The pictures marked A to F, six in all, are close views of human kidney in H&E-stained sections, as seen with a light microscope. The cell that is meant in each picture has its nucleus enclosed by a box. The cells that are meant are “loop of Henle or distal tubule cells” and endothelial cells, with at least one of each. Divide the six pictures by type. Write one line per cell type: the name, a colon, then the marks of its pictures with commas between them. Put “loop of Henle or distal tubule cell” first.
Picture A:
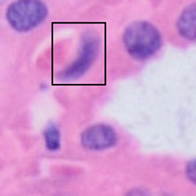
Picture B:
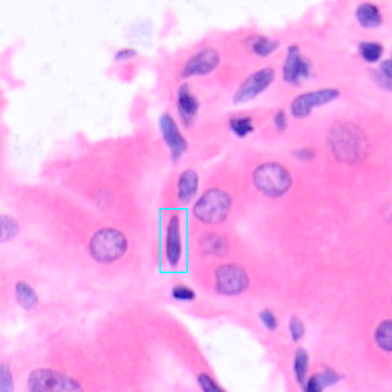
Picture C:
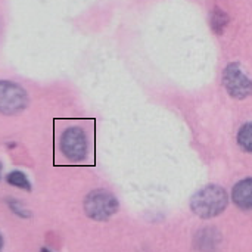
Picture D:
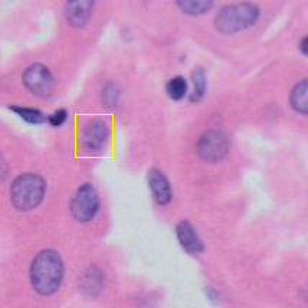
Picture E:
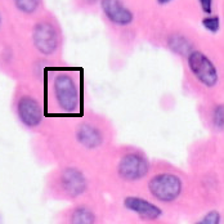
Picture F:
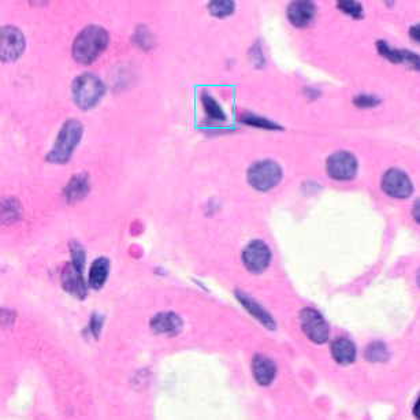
loop of Henle or distal tubule cell: C, D, E
endothelial cell: A, B, F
